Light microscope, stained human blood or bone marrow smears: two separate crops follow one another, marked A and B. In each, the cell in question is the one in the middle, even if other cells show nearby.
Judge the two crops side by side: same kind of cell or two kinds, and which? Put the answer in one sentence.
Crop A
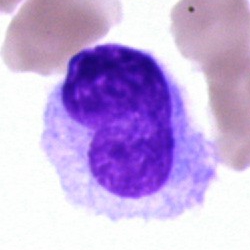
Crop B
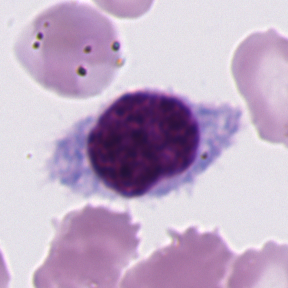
Yes, at the centre of both crops are hairy cells.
